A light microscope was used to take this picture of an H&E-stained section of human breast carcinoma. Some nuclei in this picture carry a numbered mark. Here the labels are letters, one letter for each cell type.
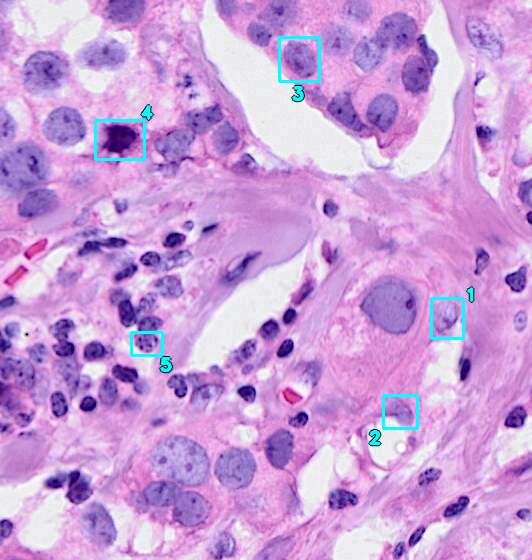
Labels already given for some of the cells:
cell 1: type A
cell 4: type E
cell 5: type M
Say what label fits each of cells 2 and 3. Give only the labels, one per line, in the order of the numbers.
type A
type E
